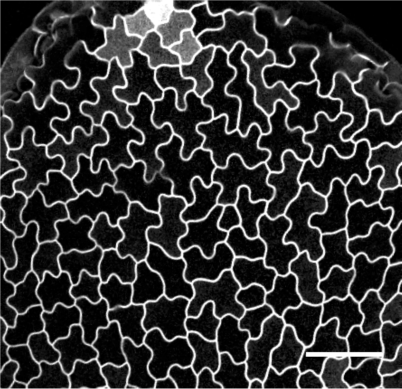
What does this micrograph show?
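This is a surface view of a plant epidermis made up entirely of pavement cells with jigsaw-like shapes, their walls appearing as thin bright lines. Each cell has several rounded lobes alternating with indentations, and the lobes of neighbouring cells fit into one another. The cells are of fairly similar size and form a continuous sheet without gaps. No stomata are seen among them. At the top the sheet ends at the rounded margin of the organ, where a few cells appear brighter.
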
